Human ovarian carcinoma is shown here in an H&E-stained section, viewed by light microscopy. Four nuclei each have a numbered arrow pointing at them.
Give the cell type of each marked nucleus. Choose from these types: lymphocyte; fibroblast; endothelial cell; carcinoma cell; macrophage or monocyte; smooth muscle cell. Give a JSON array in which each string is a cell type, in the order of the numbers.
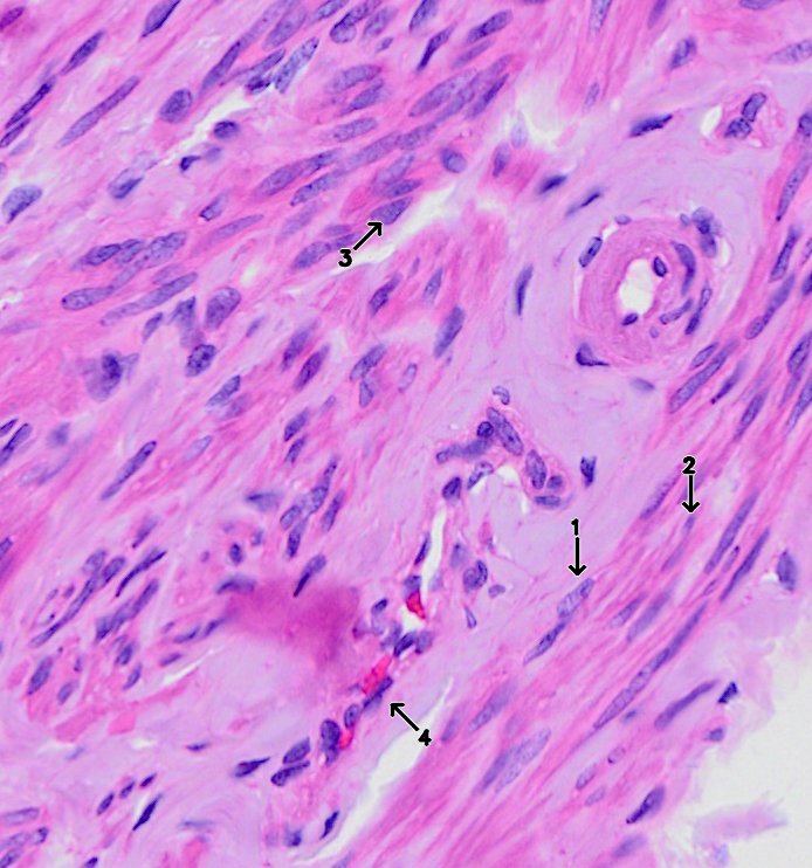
["smooth muscle cell", "smooth muscle cell", "smooth muscle cell", "endothelial cell"]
